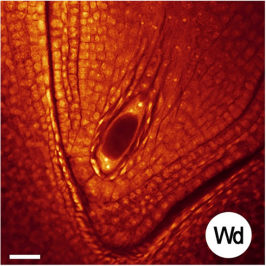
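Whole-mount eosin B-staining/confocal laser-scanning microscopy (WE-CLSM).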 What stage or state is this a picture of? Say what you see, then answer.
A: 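Tetra-nucleate embryo sacs. A larger oval sac with a big dark central vacuole occupies the nucellus centre. Bright nuclei lie at the ends of the sac.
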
